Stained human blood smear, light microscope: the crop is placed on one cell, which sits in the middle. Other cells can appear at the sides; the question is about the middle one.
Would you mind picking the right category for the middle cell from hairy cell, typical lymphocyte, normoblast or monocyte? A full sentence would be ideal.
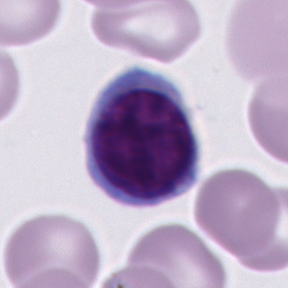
For this crop, the central cell is a normoblast.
